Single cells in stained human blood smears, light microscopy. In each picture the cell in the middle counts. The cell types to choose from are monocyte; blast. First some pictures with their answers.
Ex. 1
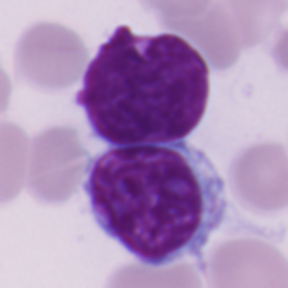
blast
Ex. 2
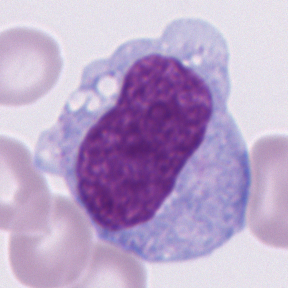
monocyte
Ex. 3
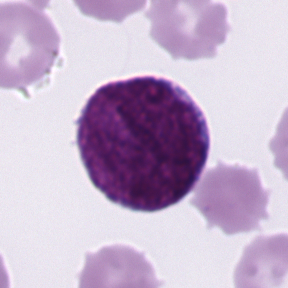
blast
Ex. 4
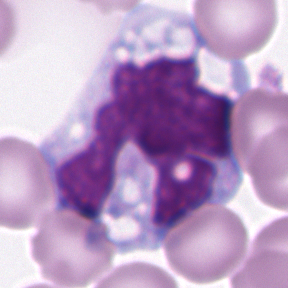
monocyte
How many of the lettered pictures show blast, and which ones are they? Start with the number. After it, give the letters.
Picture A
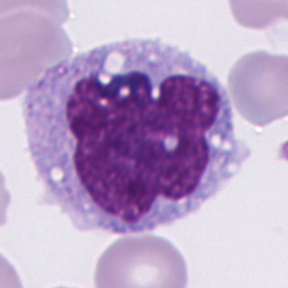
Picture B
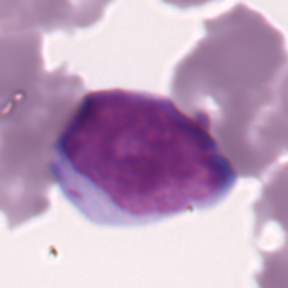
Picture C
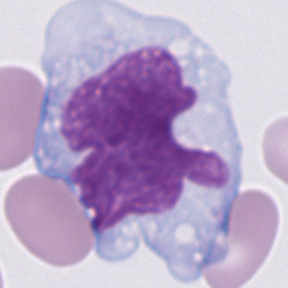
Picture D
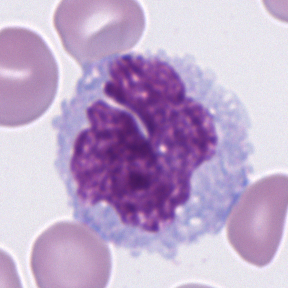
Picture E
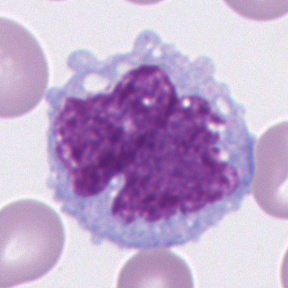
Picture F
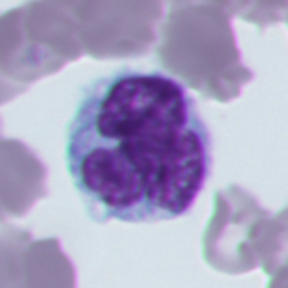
1, namely B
